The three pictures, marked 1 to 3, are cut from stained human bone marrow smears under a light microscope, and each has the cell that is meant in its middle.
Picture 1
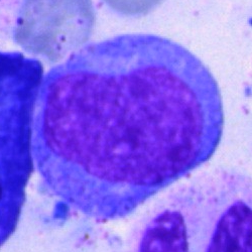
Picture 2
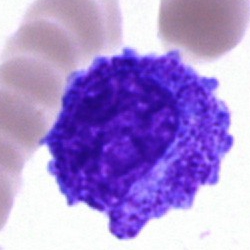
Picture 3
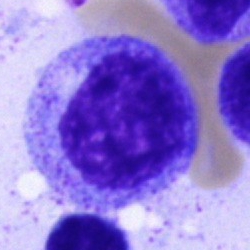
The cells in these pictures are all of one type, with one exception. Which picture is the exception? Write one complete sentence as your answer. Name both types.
The others show promyelocytes, but picture 1 shows a blast.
